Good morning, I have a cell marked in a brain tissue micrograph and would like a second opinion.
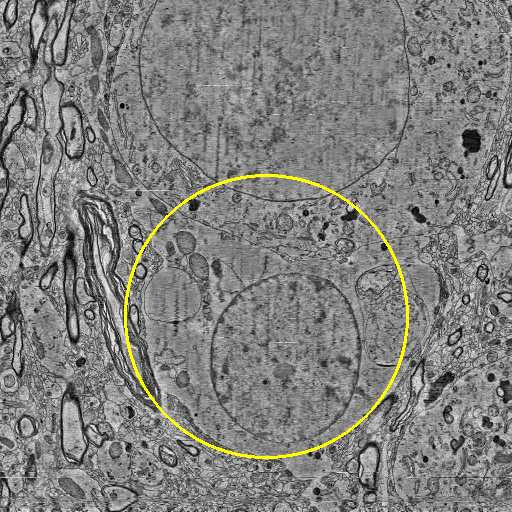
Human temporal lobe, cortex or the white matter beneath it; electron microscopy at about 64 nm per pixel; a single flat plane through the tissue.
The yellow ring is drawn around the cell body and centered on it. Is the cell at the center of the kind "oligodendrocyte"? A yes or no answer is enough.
no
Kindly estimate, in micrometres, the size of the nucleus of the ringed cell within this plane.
The nucleus appears about 10 micrometres across in this plane.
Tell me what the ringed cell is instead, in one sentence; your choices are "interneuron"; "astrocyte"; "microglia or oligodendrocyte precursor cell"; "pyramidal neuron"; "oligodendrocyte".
The cell that the ring is centred on is an astrocyte.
